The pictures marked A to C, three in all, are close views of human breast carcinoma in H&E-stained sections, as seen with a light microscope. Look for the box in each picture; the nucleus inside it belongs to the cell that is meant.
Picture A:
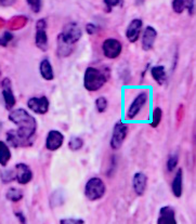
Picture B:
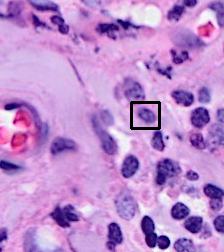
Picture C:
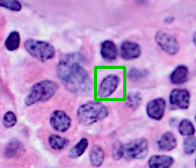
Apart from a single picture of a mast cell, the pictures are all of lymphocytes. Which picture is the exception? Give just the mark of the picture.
B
